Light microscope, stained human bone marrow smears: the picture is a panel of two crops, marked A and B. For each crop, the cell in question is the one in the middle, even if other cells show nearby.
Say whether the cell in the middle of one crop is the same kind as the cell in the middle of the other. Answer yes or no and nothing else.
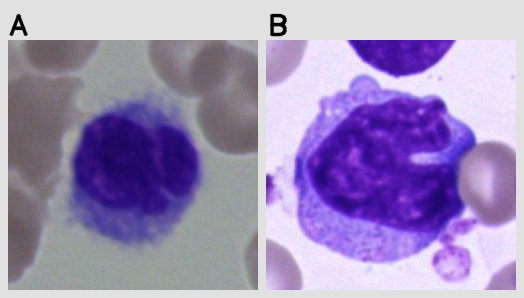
yes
